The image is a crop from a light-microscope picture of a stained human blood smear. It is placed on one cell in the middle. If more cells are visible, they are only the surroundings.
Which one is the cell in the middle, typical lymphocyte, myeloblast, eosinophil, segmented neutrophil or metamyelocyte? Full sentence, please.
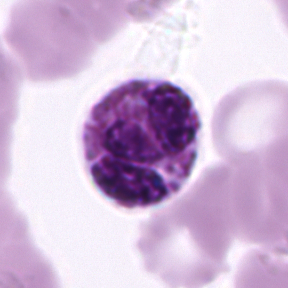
The cell of interest, in the center, is an eosinophil.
